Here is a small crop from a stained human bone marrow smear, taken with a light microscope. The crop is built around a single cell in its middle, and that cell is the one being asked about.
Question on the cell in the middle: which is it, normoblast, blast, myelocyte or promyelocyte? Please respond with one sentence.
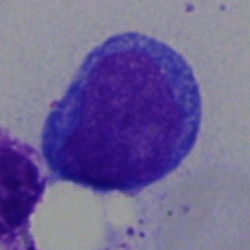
The cell the crop is centered on is a blast.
